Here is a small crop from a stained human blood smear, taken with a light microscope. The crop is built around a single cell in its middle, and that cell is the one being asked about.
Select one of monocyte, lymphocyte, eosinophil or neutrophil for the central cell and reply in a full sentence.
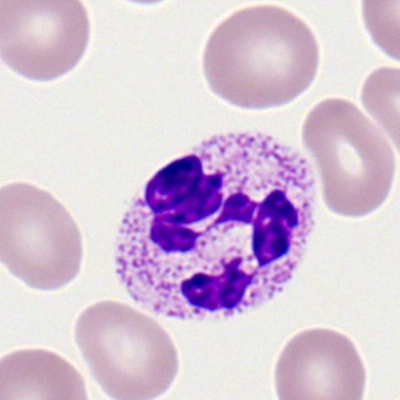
Classified as a neutrophil is the cell in the middle of this crop.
